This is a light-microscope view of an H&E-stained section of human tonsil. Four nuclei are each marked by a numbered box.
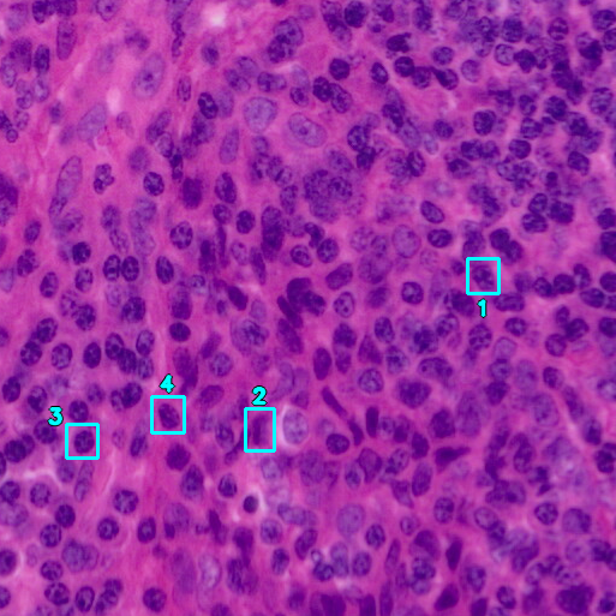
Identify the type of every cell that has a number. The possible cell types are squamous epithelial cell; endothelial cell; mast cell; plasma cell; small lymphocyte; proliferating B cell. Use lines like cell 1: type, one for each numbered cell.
cell 1: plasma cell
cell 2: squamous epithelial cell
cell 3: plasma cell
cell 4: plasma cell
